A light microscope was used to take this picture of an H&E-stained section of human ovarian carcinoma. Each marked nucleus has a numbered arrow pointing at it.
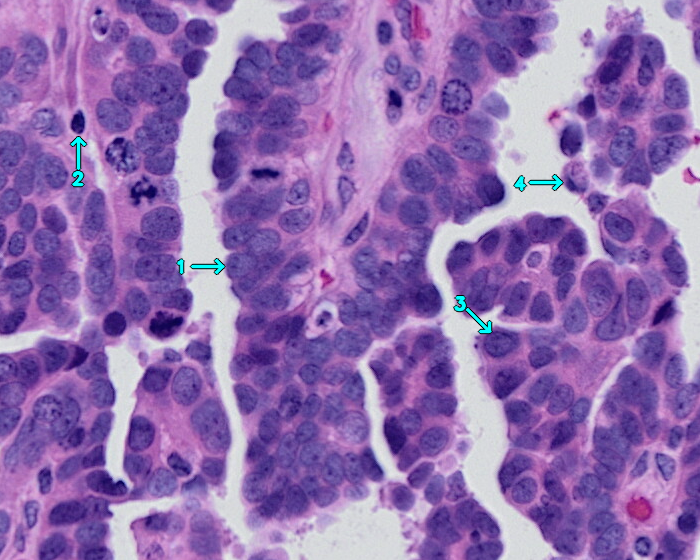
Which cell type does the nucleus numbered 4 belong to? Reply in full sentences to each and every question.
In this section, the cell tagged 4 is a macrophage or monocyte.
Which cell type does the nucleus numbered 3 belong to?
Cell 3 should be recorded as a carcinoma cell.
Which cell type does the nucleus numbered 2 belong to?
Cell 2, as marked in the section, is a lymphocyte.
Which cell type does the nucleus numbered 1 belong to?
Heads up, the cell numbered 1 is a carcinoma cell.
